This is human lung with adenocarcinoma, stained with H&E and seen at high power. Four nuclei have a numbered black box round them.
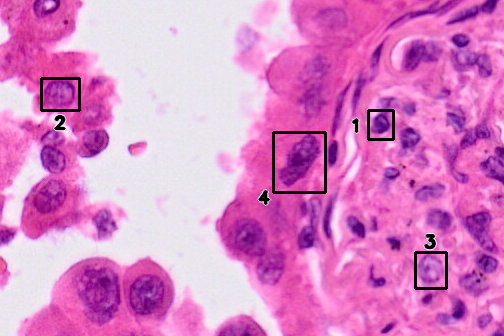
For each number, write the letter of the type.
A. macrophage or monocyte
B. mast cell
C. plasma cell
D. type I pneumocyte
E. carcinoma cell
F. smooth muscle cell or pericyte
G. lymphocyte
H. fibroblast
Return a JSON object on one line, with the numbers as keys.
{"1": "G", "2": "A", "3": "H", "4": "E"}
